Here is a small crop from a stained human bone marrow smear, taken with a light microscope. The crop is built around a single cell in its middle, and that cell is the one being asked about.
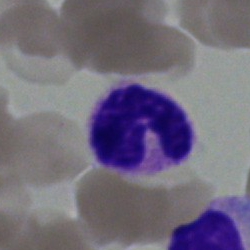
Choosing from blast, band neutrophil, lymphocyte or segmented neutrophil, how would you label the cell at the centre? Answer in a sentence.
Whatever else lies nearby, the middle cell is a segmented neutrophil.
